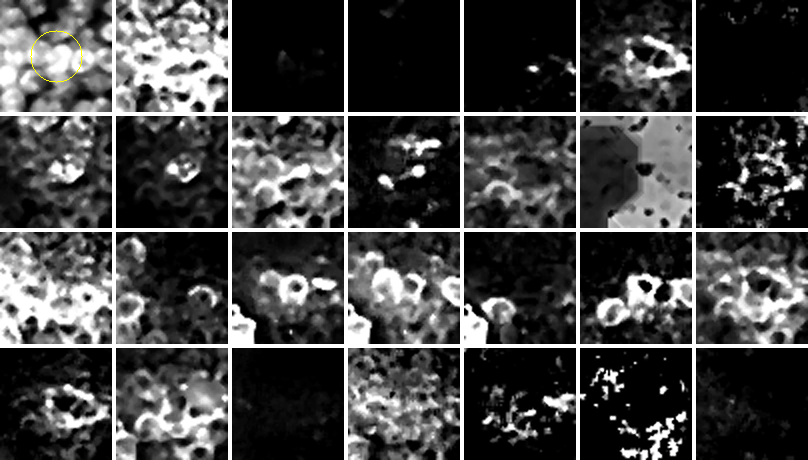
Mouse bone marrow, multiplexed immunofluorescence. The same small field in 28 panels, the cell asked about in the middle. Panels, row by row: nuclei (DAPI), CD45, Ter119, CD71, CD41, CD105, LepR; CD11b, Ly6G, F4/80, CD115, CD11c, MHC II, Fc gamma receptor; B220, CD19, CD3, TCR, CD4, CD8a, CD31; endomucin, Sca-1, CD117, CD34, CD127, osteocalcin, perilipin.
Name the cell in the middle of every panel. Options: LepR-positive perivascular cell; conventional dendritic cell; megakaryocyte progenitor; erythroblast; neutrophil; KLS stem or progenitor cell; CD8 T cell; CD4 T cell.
CD8 T cell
